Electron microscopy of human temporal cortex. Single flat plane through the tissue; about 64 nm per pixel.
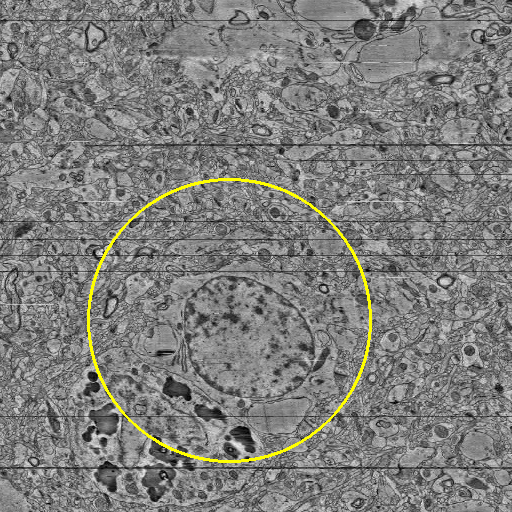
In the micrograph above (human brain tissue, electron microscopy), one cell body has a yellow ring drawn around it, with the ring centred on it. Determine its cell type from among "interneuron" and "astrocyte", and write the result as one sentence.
The cell whose body is ringed is an astrocyte.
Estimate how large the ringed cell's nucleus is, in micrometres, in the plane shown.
The nucleus measures about 9 by 7 micrometres in this plane.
